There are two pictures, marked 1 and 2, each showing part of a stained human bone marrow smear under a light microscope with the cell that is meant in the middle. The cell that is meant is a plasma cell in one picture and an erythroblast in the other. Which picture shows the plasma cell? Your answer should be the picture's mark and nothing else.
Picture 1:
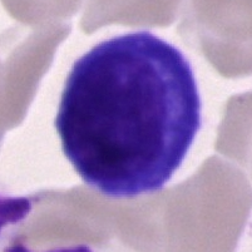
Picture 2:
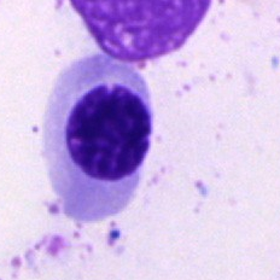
1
